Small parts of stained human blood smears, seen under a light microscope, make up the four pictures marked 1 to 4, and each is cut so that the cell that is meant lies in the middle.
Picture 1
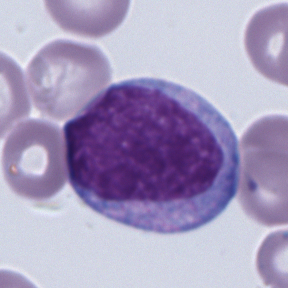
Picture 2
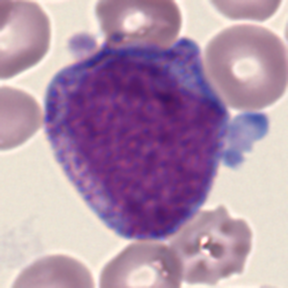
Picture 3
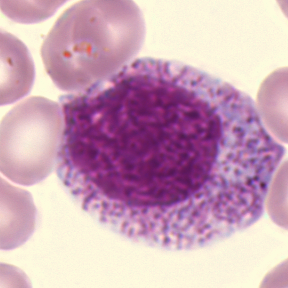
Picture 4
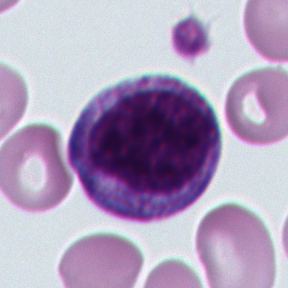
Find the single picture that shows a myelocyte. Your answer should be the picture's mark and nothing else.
4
